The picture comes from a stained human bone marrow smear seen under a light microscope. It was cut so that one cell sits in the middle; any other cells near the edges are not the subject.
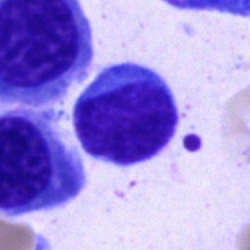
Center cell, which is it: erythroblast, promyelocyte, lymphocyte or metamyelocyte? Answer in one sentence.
Classified as a lymphocyte is the cell in the middle of this crop.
